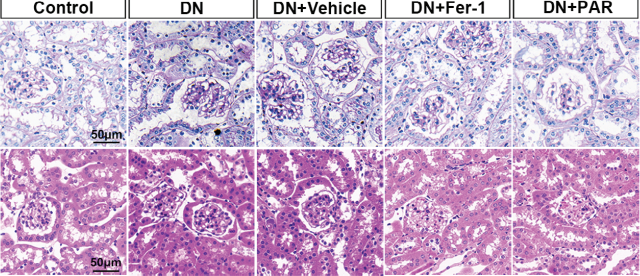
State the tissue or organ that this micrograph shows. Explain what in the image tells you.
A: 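Round glomeruli with capillary tufts inside a capsular space. Surrounding tubules in cross-section lined by cuboidal epithelium.
Hence: kidney.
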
